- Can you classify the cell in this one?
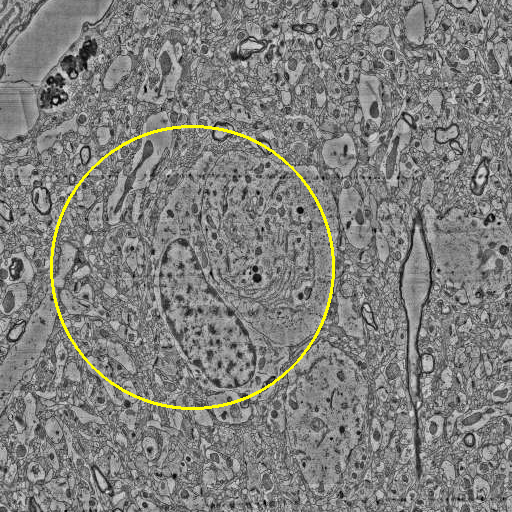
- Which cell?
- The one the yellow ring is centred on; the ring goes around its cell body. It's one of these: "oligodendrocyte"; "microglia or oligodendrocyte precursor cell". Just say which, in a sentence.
The cell body in the ring belongs to a microglial cell or oligodendrocyte precursor cell.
